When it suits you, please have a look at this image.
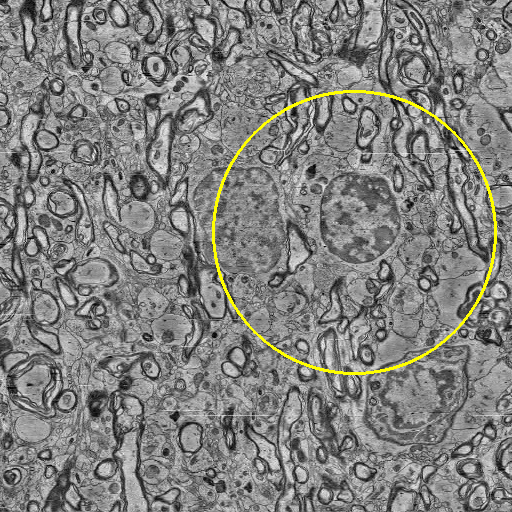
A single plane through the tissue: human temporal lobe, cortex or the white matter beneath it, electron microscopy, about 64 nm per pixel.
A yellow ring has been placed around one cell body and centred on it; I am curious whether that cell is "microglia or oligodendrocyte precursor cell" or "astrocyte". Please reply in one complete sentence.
The ringed cell, a microglial cell or oligodendrocyte precursor cell, has its body at the centre of the yellow ring.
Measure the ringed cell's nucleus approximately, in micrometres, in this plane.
In this plane the nucleus measures roughly 6 by 5 micrometres.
